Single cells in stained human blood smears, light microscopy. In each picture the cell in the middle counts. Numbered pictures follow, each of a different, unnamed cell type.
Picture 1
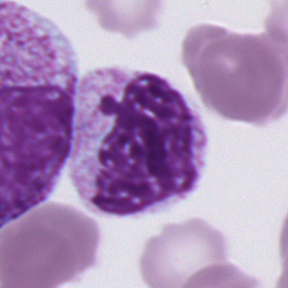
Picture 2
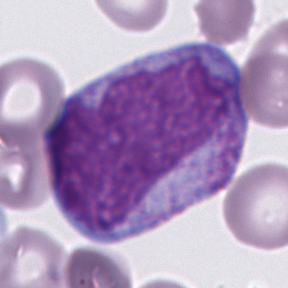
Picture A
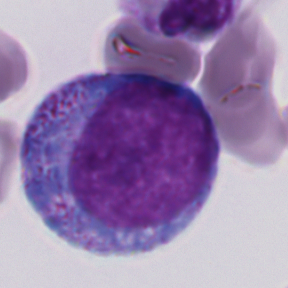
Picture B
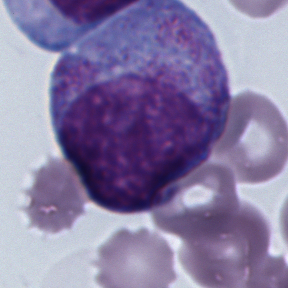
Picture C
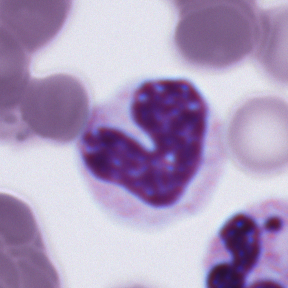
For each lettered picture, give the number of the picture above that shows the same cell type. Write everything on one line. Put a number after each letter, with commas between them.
A 2, B 2, C 1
